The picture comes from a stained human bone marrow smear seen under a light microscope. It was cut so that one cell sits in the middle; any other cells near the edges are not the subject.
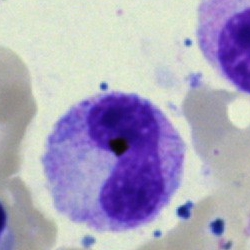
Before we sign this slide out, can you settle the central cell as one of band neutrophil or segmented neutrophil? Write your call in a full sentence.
For this crop, the central cell is a band neutrophil.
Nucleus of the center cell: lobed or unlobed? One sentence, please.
One compact mass makes up the whole nucleus, round, oval or kidney-shaped.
